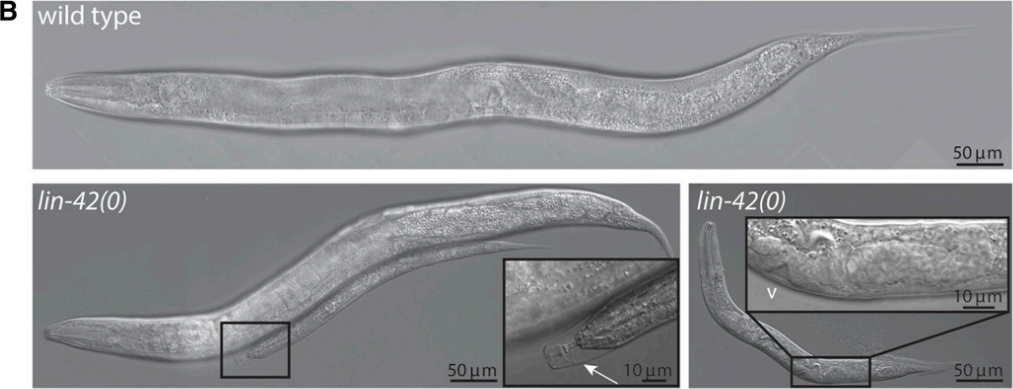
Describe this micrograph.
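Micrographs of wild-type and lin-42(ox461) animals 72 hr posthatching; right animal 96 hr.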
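These are whole nematodes seen in differential interference contrast. The upper worm is long and slender, with a full-length body and granular internal tissues along its length. Below it, two smaller worms lie side by side; the enlarged inset shows a thin, transparent sheath of old cuticle that is still attached at the end of the smaller worm's body rather than shed.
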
